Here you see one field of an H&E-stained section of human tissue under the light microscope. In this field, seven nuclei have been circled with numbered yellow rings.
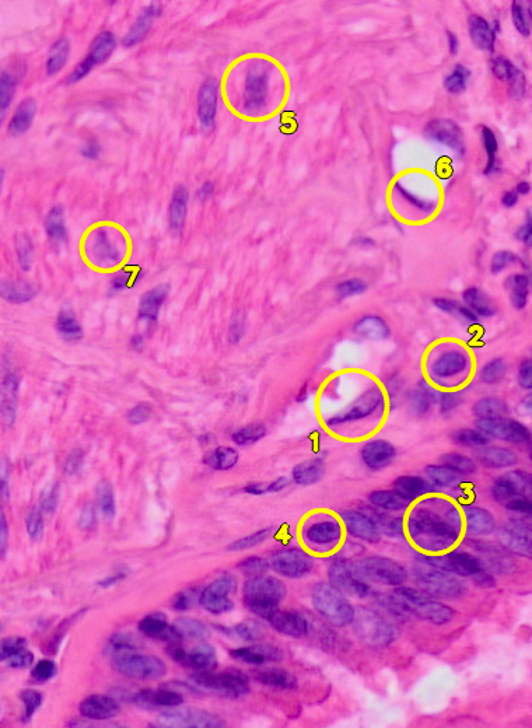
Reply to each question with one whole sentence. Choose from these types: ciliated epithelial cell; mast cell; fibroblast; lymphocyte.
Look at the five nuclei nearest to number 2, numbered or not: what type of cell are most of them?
Around number 2, most of the five nearest nuclei are those of fibroblasts.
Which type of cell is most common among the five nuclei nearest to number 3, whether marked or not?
Of the five nuclei nearest to number 3, most belong to ciliated epithelial cells.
